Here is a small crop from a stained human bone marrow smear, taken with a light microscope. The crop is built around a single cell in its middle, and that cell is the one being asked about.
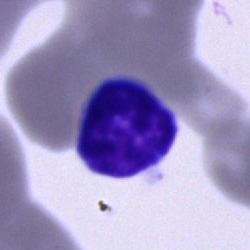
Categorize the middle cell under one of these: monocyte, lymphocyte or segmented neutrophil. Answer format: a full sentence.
In this crop, the cell at the very middle is a lymphocyte.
